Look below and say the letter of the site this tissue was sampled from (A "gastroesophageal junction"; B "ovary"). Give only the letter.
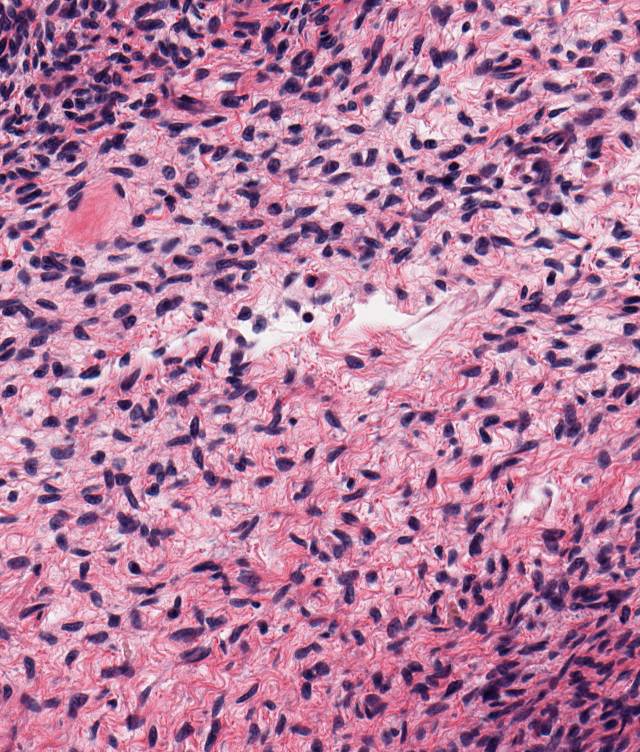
B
